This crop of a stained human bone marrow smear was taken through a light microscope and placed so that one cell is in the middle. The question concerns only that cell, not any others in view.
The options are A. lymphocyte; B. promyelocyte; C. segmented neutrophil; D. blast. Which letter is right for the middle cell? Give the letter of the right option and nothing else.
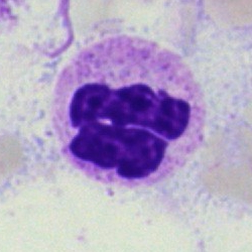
C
